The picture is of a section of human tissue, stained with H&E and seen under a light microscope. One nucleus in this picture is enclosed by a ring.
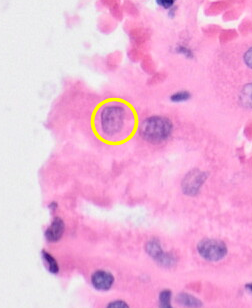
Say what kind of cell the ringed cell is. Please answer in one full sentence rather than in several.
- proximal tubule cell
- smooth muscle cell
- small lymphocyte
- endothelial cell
Right, so the ringed cell is a proximal tubule cell, to answer that.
